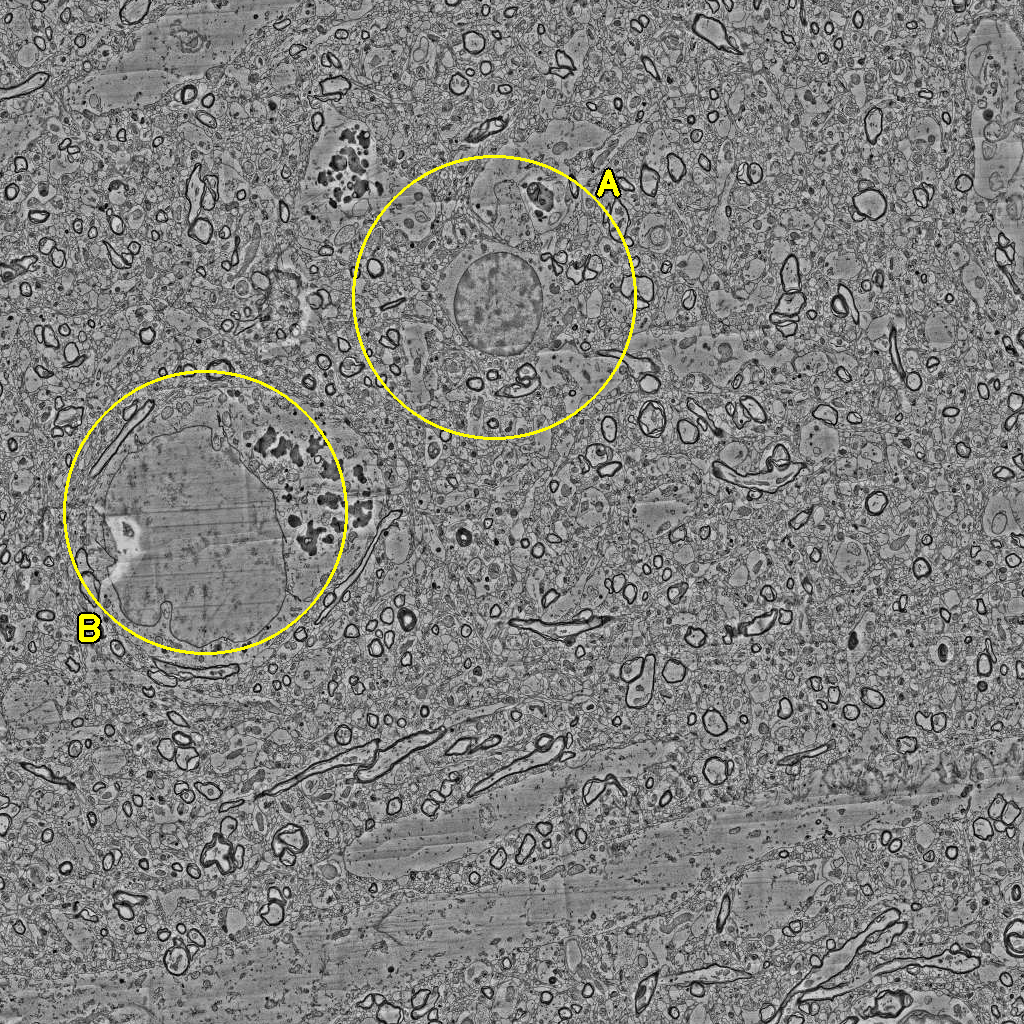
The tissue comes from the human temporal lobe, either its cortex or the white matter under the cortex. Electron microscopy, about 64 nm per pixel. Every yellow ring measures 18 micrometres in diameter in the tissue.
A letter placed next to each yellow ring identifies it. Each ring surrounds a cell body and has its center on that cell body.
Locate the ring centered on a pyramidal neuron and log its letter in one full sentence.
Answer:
Ring B has at its center the cell that the task asks for.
